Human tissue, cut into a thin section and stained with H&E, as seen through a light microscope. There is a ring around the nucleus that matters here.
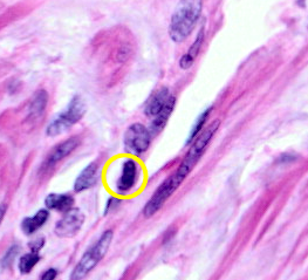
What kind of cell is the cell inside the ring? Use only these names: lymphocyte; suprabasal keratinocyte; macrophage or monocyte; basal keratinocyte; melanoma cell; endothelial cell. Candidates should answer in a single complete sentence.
Recorded by type, the cell inside the ring is a lymphocyte.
